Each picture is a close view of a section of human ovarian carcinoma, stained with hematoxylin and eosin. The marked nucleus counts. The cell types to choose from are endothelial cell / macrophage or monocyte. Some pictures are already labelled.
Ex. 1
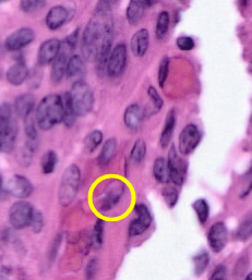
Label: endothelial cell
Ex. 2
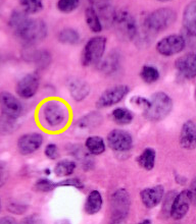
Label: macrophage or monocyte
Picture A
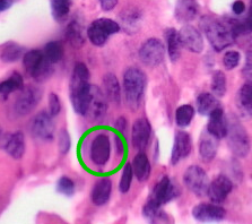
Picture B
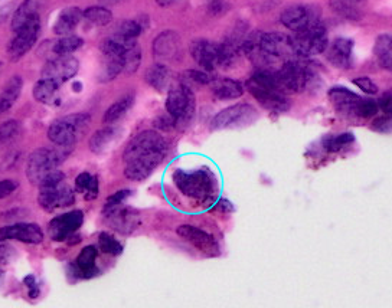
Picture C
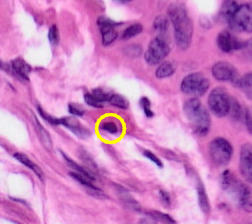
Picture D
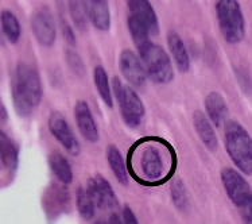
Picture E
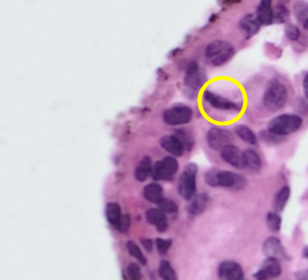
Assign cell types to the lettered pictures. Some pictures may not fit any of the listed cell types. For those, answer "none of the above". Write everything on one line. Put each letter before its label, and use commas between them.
A none of the above, B none of the above, C endothelial cell, D macrophage or monocyte, E macrophage or monocyte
